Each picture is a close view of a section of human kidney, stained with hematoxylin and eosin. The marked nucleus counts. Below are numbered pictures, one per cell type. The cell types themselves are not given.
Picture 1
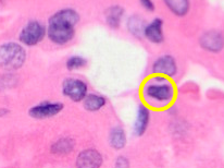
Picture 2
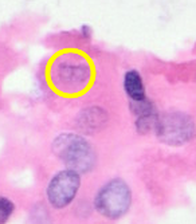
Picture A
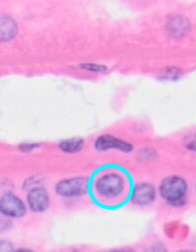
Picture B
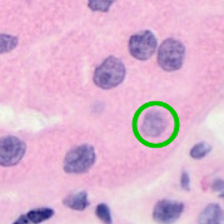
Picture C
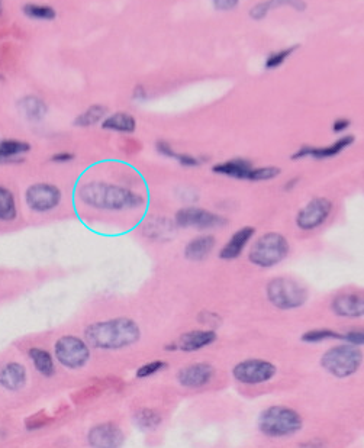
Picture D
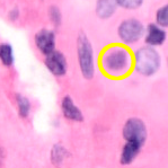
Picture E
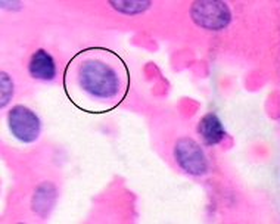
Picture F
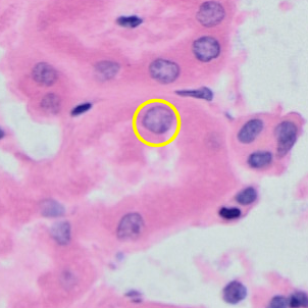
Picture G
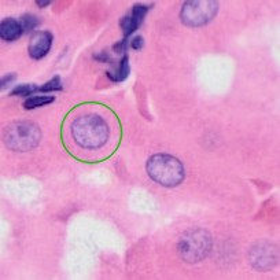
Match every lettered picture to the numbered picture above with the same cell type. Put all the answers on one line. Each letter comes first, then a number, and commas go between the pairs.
A 1, B 2, C 1, D 1, E 1, F 2, G 2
